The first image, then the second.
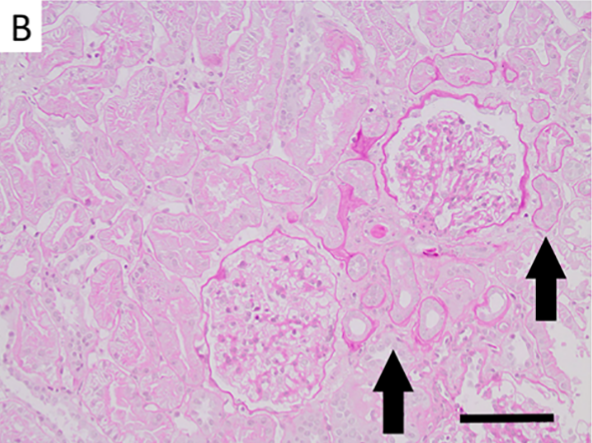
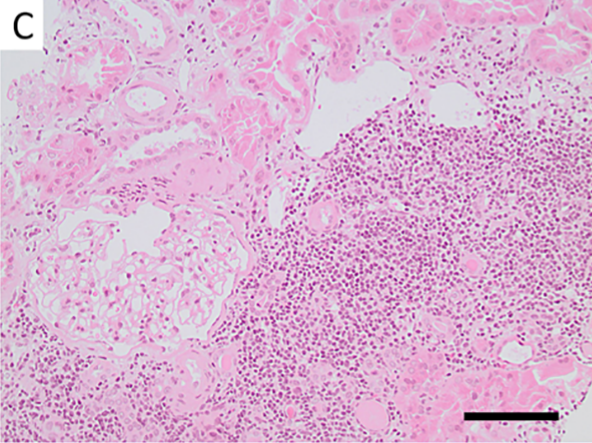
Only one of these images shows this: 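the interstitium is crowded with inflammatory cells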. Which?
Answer: the second image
